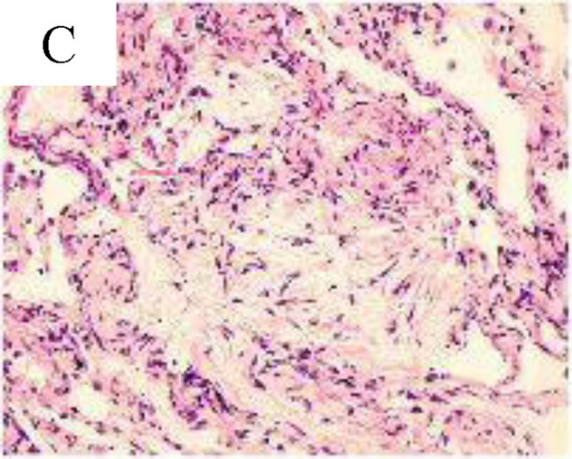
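In this lung tissue a pale, loosely textured plug of spindle-shaped fibroblast-like cells sits in the centre, arranged in a swirling pattern. Around it the tissue is crowded with small dark nuclei of inflammatory cells, and open clear spaces remain at the edges.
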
